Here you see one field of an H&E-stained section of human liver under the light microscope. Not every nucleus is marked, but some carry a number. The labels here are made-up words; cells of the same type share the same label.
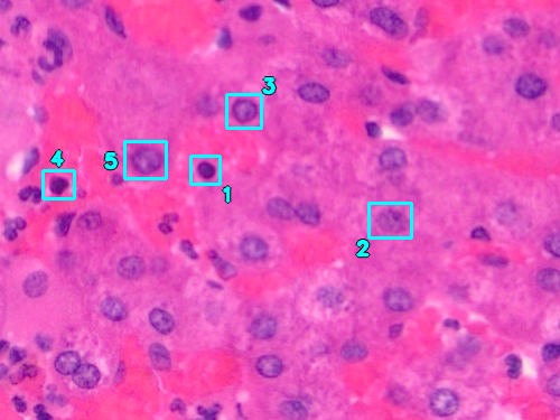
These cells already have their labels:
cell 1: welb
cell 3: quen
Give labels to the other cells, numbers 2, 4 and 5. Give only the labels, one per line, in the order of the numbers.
quen
welb
quen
